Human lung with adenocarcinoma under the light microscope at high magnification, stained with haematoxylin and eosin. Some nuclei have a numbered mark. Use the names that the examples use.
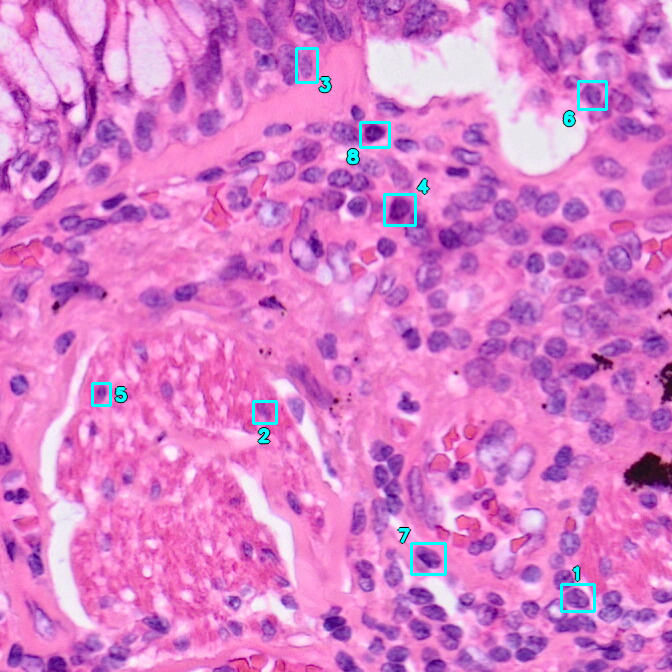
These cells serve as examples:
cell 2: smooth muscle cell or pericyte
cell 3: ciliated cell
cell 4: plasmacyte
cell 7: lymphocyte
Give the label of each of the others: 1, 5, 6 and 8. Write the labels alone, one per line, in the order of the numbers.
lymphocyte
smooth muscle cell or pericyte
ciliated cell
plasmacyte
